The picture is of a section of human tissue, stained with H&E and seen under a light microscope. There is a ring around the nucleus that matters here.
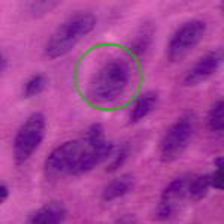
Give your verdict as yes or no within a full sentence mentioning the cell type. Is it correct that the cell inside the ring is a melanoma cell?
No, a squamous epithelial cell is what the cell inside the ring is, not a melanoma cell.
